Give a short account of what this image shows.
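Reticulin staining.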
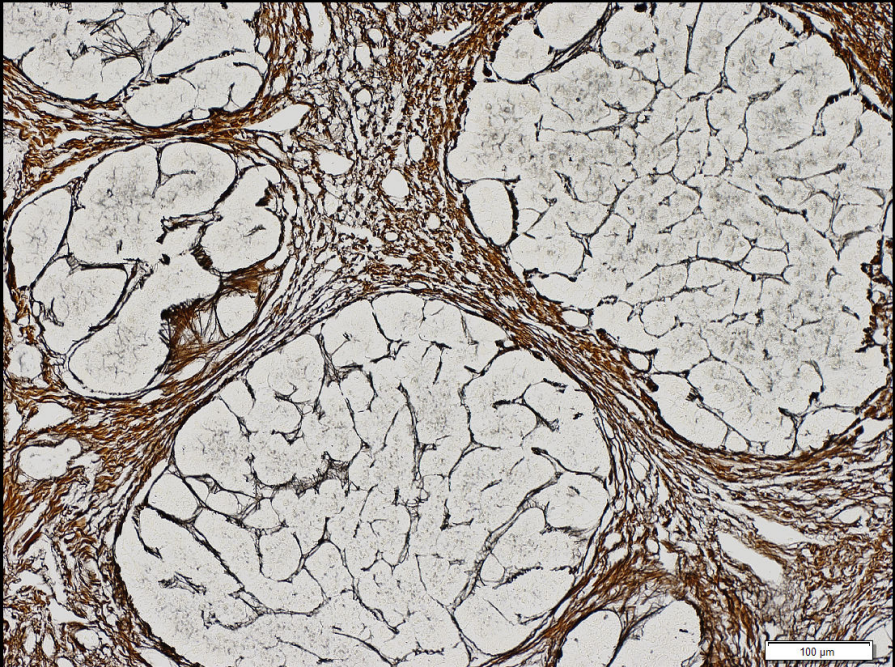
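Cirrhotic liver showing broad, dark brown-black fibrous septa that surround and separate rounded nodules of parenchyma. The septa are thick and interconnected, containing wavy fibres and scattered spaces, possibly vessels. Together they form a continuous network of fibrosis that encircles each nodule.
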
